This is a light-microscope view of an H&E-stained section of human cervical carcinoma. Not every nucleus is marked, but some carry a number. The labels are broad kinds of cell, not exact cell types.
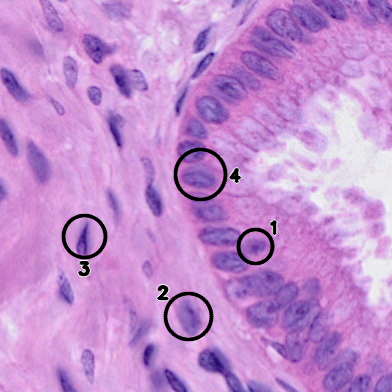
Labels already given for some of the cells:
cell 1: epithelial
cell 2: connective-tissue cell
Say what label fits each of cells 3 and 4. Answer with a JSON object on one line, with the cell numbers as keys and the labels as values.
{"3": "connective-tissue cell", "4": "epithelial"}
